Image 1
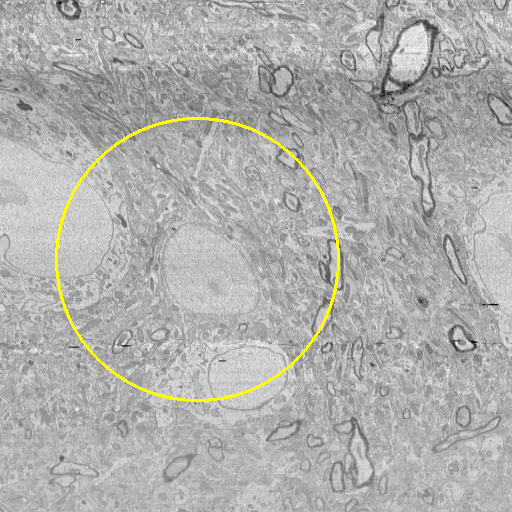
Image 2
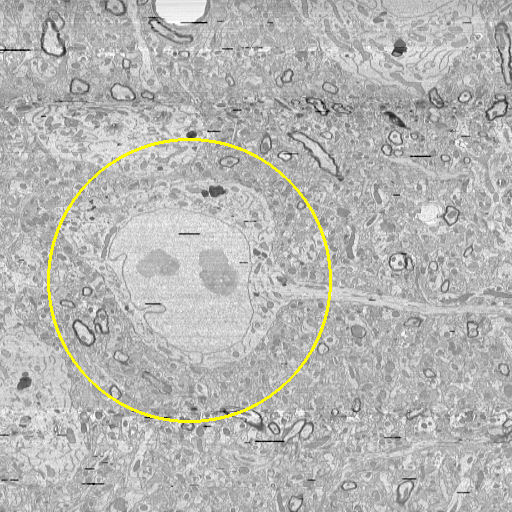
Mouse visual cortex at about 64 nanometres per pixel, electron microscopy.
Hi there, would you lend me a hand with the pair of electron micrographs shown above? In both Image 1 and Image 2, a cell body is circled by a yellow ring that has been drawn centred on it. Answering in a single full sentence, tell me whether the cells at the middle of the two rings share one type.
No, the ringed cells in Image 1 and Image 2 belong to two types.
